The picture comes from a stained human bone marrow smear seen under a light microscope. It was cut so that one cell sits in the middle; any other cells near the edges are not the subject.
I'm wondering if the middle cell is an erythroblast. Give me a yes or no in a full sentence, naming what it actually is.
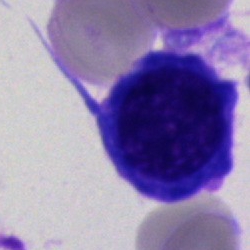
Yes, an erythroblast occupies the middle of the crop.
